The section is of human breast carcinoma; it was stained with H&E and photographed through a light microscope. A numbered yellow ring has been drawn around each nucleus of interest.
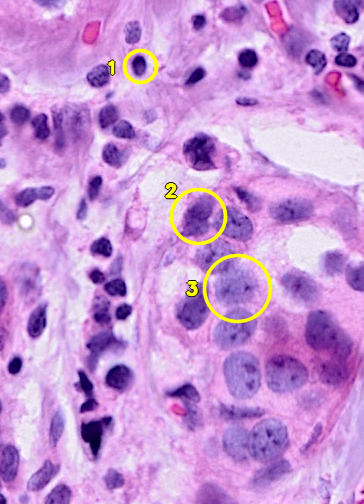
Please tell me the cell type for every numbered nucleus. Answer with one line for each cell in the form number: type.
1: lymphocyte
2: carcinoma cell
3: carcinoma cell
